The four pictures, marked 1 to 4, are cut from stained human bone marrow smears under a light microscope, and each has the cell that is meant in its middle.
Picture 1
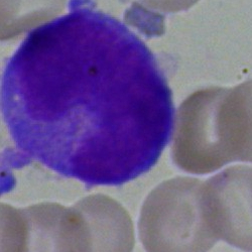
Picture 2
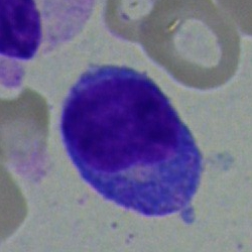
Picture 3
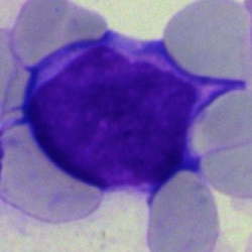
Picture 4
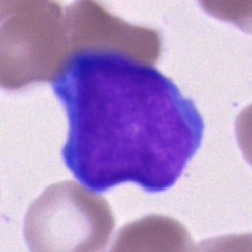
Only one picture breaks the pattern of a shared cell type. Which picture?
1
